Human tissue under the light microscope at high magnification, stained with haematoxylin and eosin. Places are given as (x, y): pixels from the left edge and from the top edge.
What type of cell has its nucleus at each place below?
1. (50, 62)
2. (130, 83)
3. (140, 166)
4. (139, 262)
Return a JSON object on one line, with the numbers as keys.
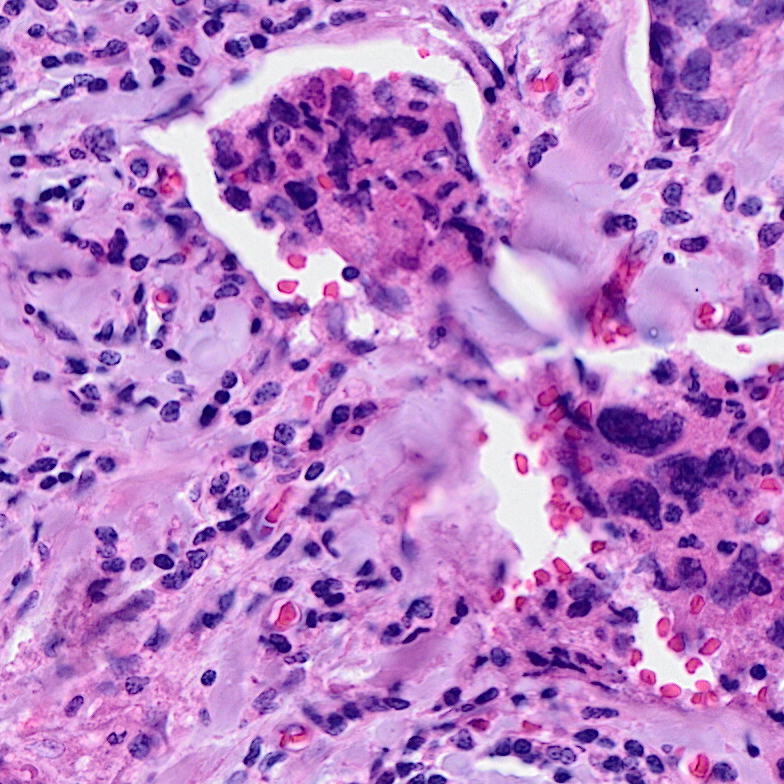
{"1": "lymphocyte", "2": "lymphocyte", "3": "mast cell", "4": "lymphocyte"}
